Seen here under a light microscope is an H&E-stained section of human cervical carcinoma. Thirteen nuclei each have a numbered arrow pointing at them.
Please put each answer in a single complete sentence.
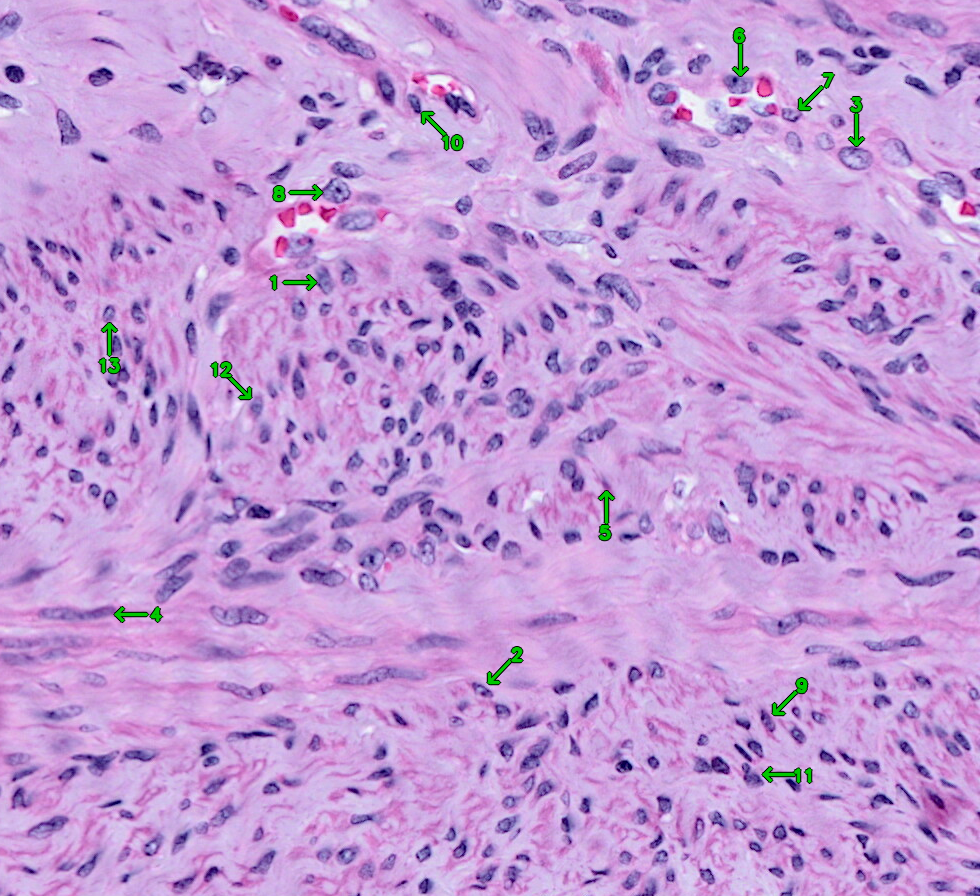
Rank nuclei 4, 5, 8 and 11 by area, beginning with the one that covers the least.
By area, going up from the smallest, they rank 5, 11, 4, 8.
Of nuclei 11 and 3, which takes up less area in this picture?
With nucleus 3 about 3 times its size, nucleus 11 is the smaller of the two.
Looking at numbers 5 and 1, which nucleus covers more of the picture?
Nucleus 1 is the larger one, covering about 4 times the area of nucleus 5.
